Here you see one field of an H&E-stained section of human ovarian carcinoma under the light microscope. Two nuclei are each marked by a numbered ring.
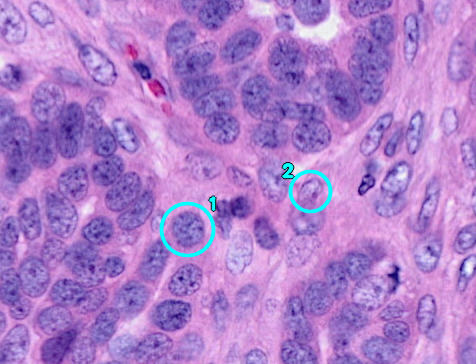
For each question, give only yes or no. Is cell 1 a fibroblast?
no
